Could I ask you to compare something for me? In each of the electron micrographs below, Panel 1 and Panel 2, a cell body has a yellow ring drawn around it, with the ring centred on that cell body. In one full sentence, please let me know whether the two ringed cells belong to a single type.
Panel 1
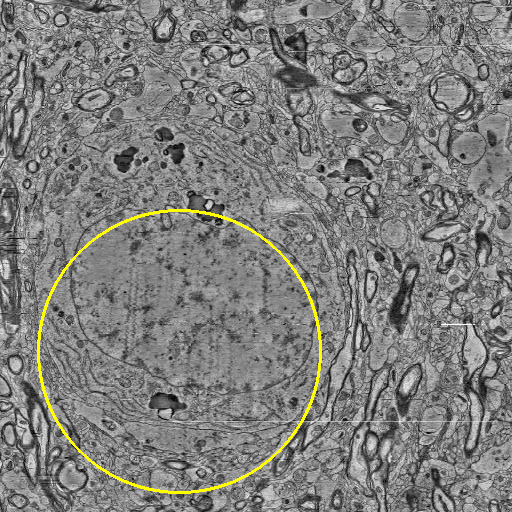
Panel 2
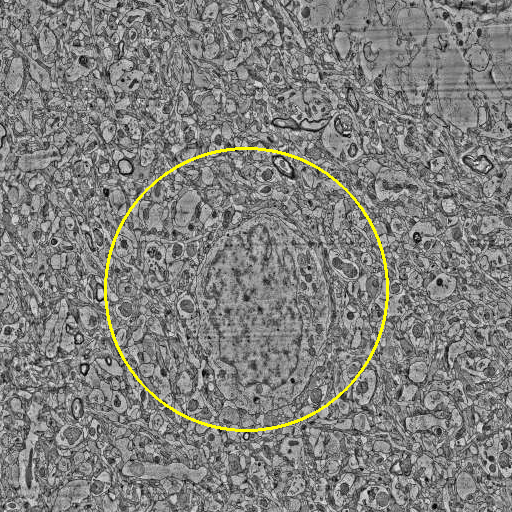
Yes, the two cells at the centres of the rings are of one type.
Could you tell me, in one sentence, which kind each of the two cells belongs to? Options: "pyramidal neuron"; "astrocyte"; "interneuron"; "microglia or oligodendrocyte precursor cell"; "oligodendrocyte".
In each picture the ringed cell is an interneuron.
